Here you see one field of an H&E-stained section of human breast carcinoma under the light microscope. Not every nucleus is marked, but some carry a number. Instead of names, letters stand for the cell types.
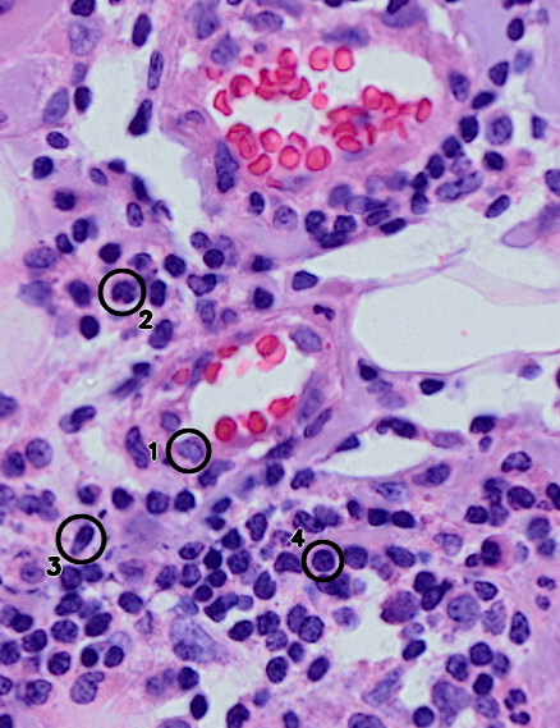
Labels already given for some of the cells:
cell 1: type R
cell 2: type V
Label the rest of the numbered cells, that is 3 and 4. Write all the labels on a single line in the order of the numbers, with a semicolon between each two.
type V; type V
